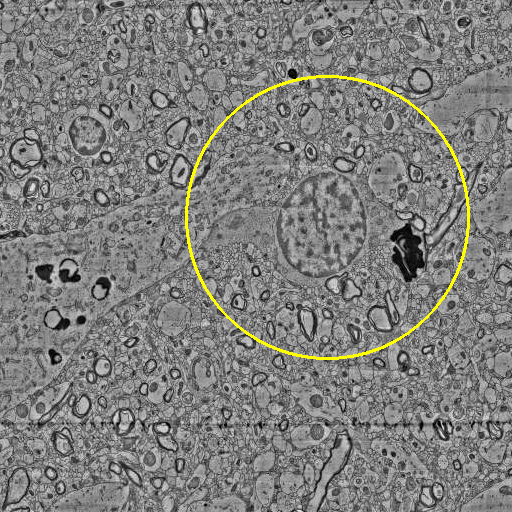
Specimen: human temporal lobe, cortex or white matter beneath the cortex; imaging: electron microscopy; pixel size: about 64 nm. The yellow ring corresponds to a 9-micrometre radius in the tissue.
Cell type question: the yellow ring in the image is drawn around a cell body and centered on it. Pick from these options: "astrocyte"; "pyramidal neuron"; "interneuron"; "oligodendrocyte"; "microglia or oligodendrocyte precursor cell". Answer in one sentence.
The ringed cell at the center is an oligodendrocyte.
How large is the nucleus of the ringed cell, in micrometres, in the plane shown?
In this plane the nucleus is about 7 micrometres by 6.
